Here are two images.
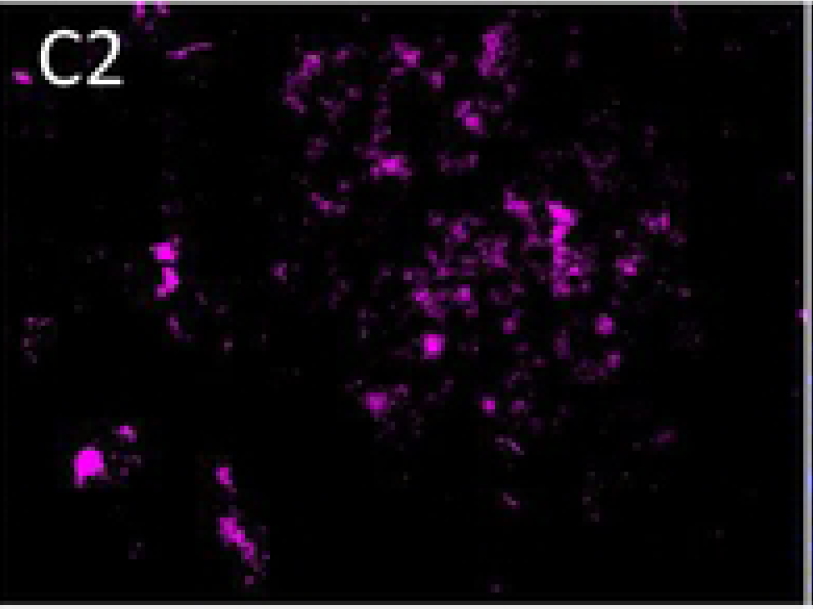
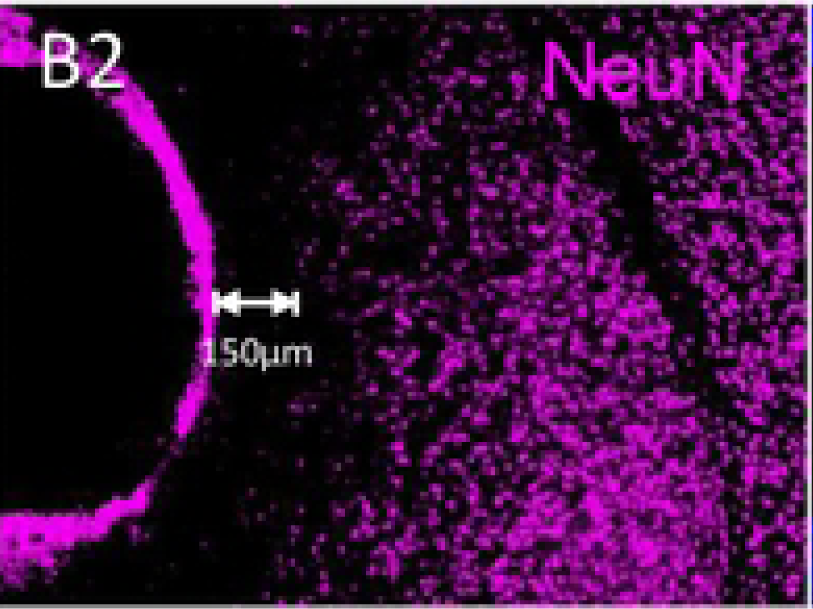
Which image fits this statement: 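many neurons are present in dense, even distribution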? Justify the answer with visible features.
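The second image. First image: only scattered, irregular magenta clumps on a mostly dark field. Second image: numerous small magenta dots densely fill the tissue away from the cavity edge.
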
